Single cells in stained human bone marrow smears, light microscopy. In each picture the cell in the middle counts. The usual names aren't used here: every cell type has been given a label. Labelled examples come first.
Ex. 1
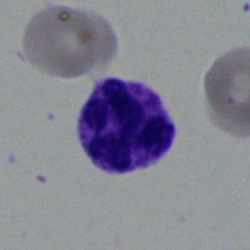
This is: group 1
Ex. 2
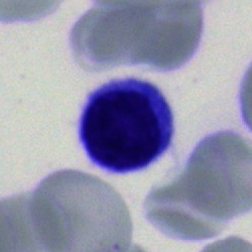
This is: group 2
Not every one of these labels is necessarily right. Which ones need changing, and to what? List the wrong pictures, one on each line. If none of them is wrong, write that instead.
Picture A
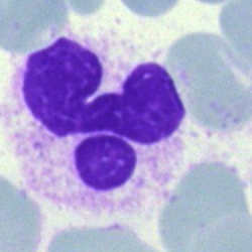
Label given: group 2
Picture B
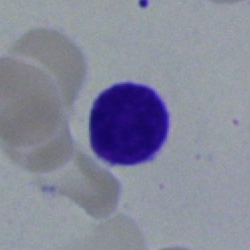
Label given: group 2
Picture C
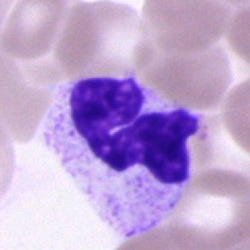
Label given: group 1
A is labelled group 2; correct label: group 1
